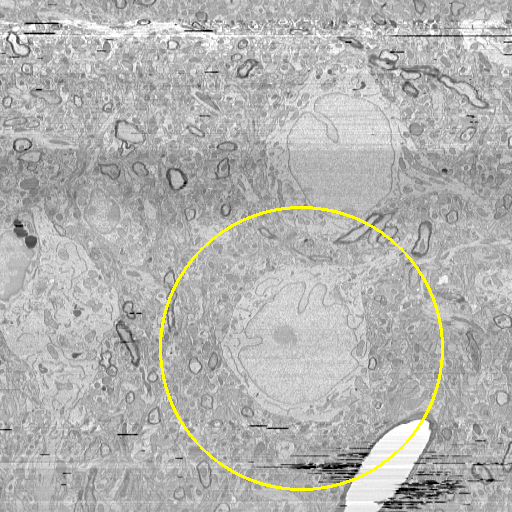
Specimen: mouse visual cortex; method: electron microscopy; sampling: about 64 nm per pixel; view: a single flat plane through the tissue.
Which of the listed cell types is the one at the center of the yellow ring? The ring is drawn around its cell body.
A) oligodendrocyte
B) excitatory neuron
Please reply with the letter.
B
